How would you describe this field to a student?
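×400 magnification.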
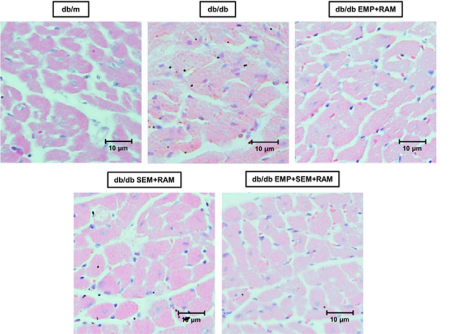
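Small, oval, blue-purple nuclei lie within the cell profiles. Narrow pale gaps of interstitium separate the cells. The profiles vary in size from image to image.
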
